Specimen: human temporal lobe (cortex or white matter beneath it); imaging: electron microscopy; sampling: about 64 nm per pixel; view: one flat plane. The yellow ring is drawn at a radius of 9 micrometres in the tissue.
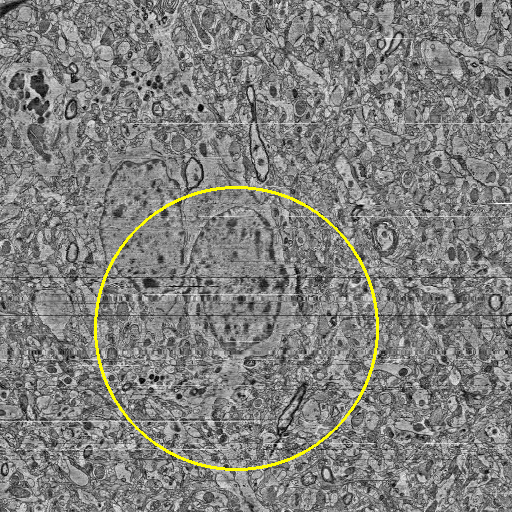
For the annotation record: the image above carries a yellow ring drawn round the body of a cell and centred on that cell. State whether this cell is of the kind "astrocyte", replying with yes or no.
Yes, this cell is of that kind.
